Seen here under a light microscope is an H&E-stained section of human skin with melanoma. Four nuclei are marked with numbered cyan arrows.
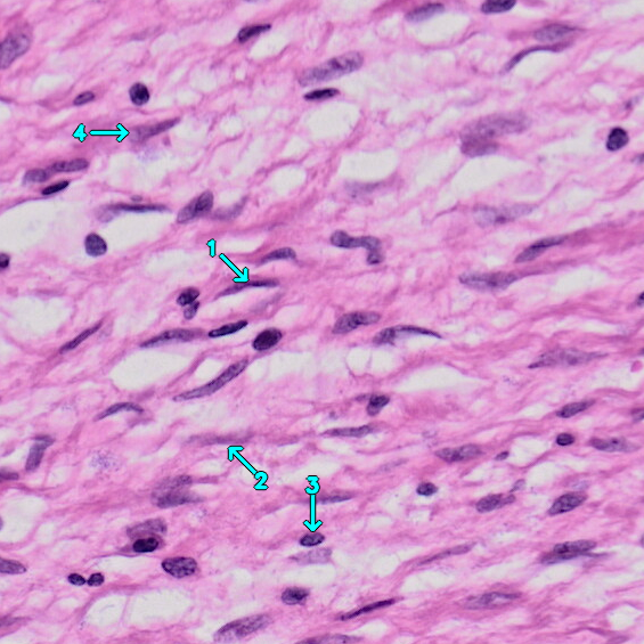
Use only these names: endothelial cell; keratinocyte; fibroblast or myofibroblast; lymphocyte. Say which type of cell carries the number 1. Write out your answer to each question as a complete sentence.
The cell tagged with 1 in this tissue section is a fibroblast or myofibroblast.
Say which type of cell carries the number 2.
The nucleus marked 2 is the nucleus of a fibroblast or myofibroblast.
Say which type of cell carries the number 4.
The cell tagged with 4 in this tissue section is a fibroblast or myofibroblast.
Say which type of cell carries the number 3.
The cell bearing label 3 corresponds to a lymphocyte.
